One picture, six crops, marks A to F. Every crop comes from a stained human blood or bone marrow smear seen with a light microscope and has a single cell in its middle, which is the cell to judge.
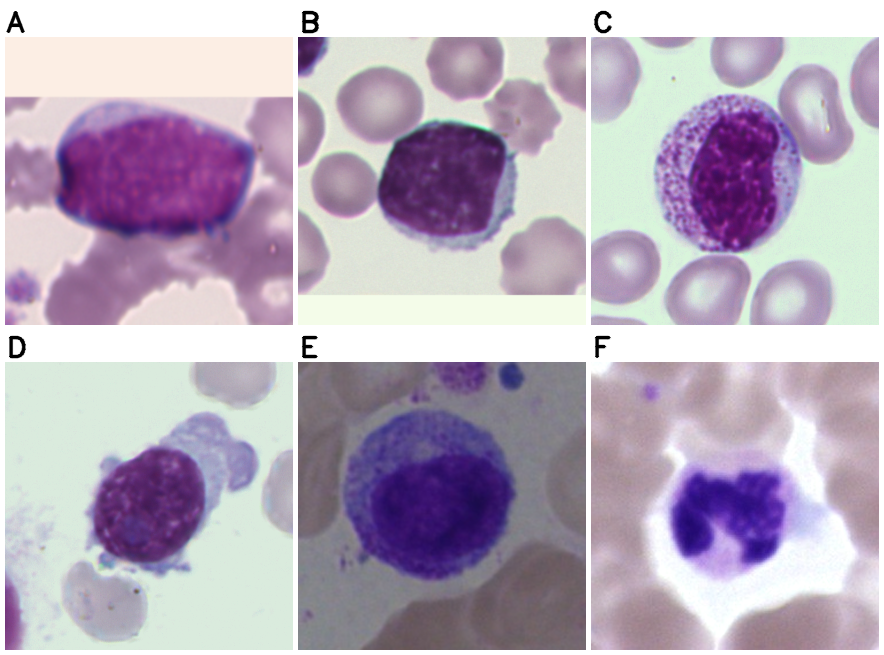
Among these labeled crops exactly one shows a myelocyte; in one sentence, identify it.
It is in crop E, among all the crops, that a myelocyte is present.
